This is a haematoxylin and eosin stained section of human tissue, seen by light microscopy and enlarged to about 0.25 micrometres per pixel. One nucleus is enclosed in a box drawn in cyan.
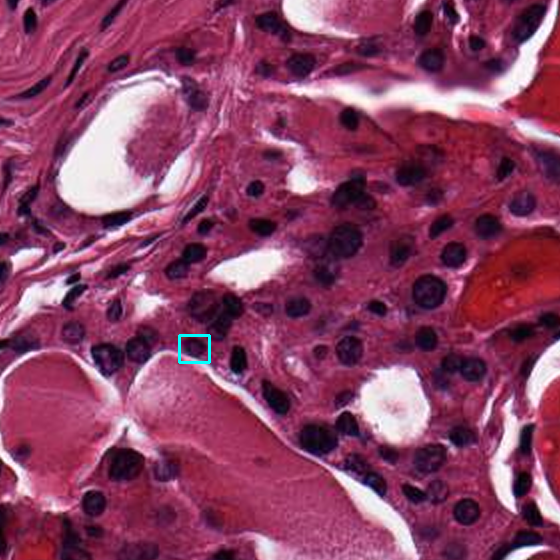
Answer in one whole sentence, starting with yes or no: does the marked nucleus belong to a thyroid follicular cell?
Yes, the marked nucleus is part of a thyroid follicular cell.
